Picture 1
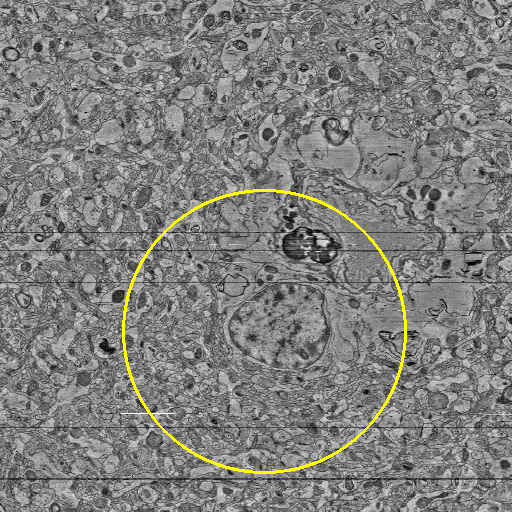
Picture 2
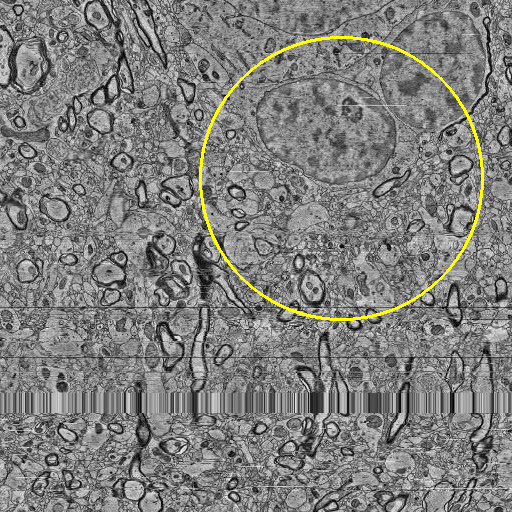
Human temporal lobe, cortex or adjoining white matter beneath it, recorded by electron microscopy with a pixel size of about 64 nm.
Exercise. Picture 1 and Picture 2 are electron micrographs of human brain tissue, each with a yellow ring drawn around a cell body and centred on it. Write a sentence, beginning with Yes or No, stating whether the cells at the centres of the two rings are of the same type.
No, the cells at the centres of the rings are of two types.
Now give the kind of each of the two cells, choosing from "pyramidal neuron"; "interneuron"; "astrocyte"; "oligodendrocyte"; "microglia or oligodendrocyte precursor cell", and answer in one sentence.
The cell in the first picture is a microglial cell or oligodendrocyte precursor cell, and the cell in the second is an oligodendrocyte.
